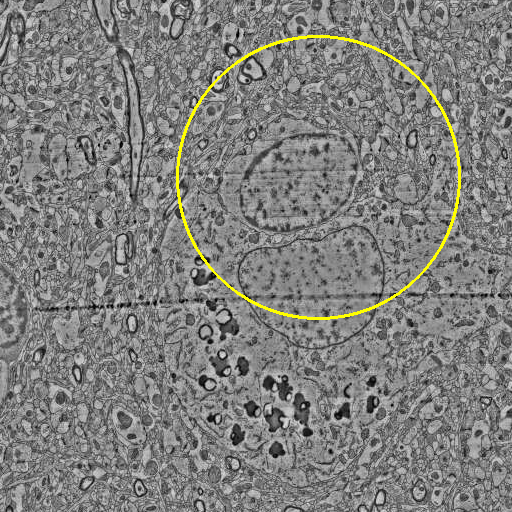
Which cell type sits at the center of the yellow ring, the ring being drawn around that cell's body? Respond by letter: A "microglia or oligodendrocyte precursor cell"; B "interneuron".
A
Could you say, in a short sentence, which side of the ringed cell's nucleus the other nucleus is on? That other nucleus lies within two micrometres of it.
The other nucleus lies below it.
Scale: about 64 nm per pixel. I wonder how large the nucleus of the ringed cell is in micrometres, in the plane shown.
About 8 by 6 micrometers for the nucleus, in this plane.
